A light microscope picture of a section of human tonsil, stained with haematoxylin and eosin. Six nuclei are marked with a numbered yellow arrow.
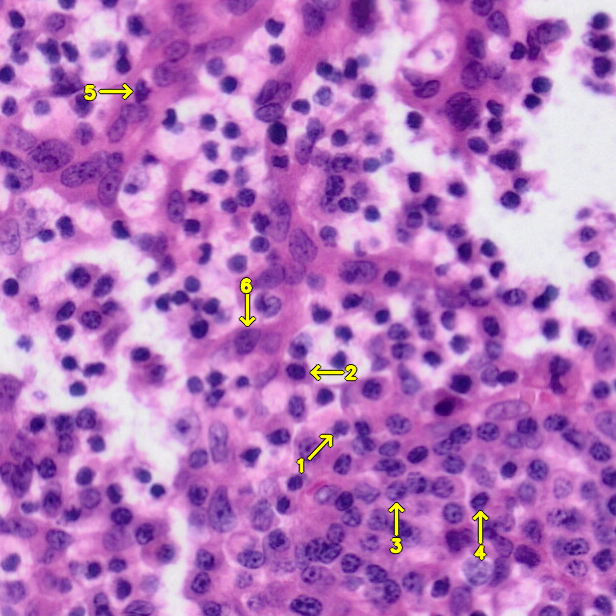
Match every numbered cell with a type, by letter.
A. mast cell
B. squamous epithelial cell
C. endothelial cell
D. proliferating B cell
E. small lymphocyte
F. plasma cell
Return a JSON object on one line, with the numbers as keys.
{"1": "F", "2": "F", "3": "F", "4": "F", "5": "B", "6": "B"}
